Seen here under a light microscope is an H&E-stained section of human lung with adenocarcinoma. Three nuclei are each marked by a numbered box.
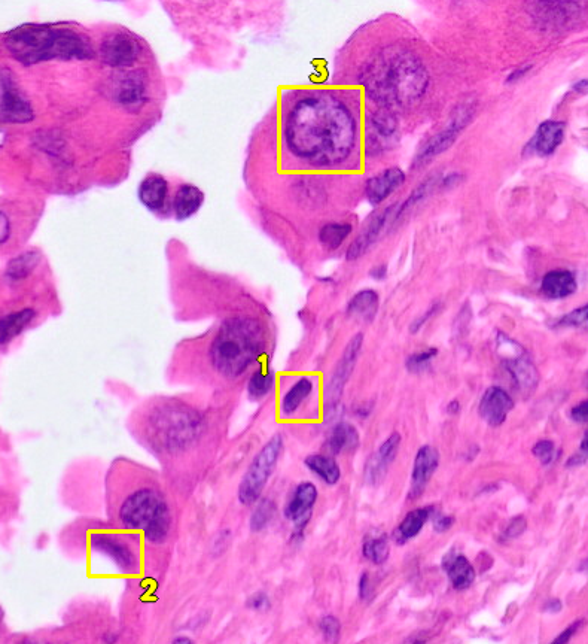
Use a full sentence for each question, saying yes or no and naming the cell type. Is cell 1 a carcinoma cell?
No, number 1 points to a lymphocyte and not to a carcinoma cell.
